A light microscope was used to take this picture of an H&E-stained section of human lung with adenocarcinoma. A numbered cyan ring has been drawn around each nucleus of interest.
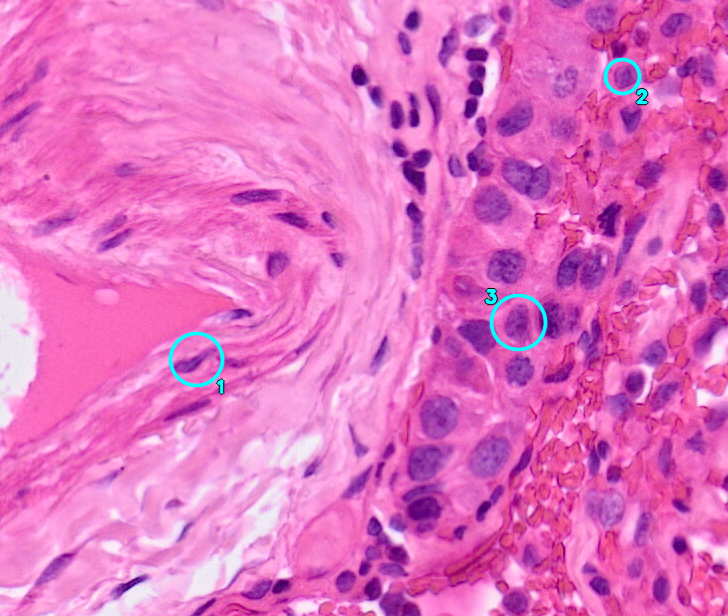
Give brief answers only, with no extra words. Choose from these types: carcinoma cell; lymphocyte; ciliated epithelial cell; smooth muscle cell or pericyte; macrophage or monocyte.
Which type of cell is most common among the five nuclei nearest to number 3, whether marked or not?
carcinoma cell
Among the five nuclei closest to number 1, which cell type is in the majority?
smooth muscle cell or pericyte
